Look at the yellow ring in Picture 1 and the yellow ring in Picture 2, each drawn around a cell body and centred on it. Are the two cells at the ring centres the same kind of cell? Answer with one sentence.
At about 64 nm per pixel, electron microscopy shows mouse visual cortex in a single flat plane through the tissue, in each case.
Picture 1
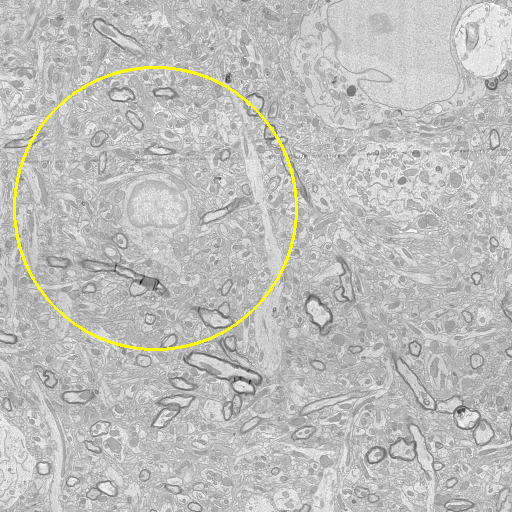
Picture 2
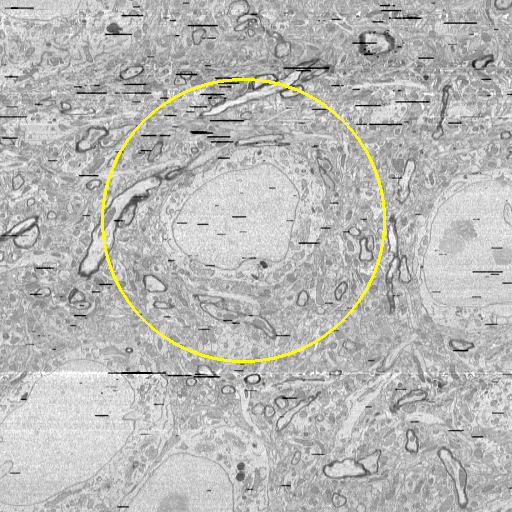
No, they are cells of two kinds.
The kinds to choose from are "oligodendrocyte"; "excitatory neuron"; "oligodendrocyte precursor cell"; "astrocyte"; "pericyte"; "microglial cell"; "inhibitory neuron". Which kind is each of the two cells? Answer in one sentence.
Of the two, the first cell is an oligodendrocyte and the second cell is an excitatory neuron.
